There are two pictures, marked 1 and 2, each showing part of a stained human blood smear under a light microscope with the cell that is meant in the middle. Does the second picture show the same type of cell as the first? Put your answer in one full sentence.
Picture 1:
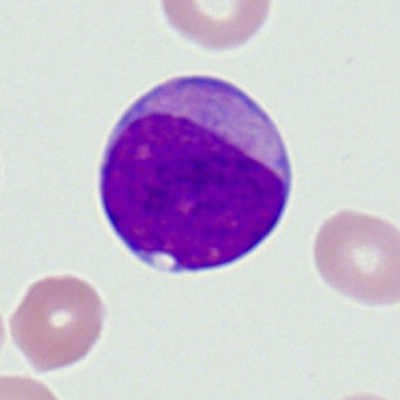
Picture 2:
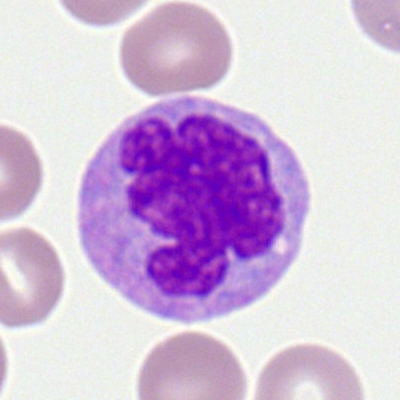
No; the cell in picture 1 is a myeloblast, while the one in picture 2 is a monocyte.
